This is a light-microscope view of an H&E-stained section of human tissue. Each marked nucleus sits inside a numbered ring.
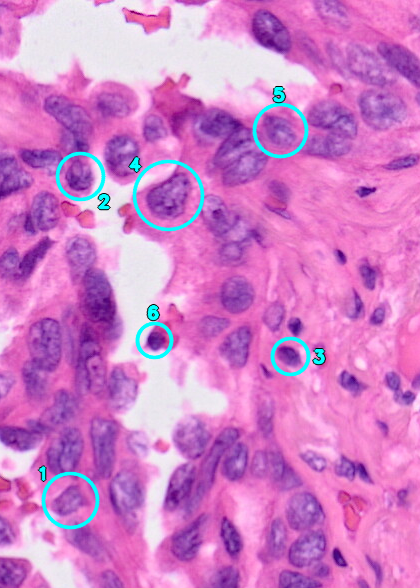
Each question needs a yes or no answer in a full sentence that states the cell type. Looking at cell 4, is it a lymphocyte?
No, cell 4 is a carcinoma cell; it is not a lymphocyte.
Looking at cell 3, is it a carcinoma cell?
No, cell 3 has been misnamed; it is a lymphocyte, not a carcinoma cell.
